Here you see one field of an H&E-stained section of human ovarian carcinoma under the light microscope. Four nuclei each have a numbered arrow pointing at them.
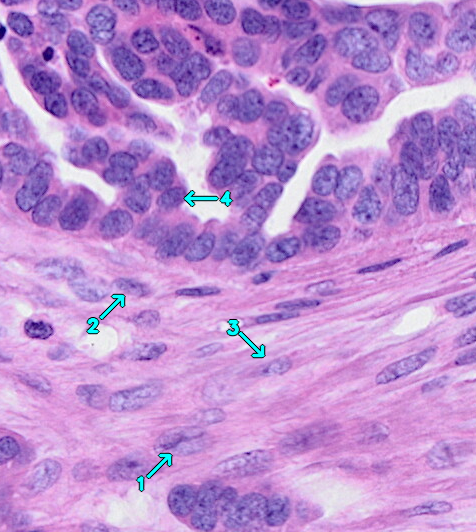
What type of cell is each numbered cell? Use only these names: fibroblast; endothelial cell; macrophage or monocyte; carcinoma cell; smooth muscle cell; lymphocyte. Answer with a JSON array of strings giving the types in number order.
["fibroblast", "fibroblast", "fibroblast", "carcinoma cell"]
